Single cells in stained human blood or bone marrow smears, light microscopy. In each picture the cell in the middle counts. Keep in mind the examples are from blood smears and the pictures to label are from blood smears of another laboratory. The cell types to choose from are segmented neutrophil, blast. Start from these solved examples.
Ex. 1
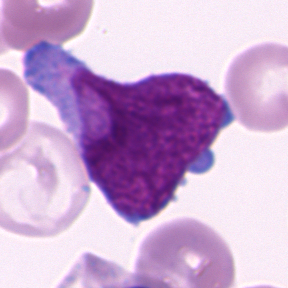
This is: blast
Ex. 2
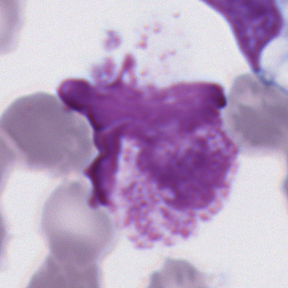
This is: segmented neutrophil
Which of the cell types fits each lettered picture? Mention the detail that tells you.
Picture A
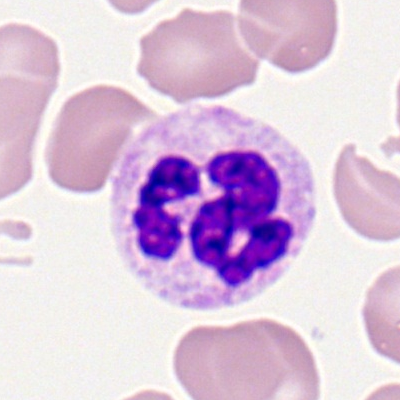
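Answer: segmented neutrophil. The cytoplasm is plentiful and pale pinkish-lilac.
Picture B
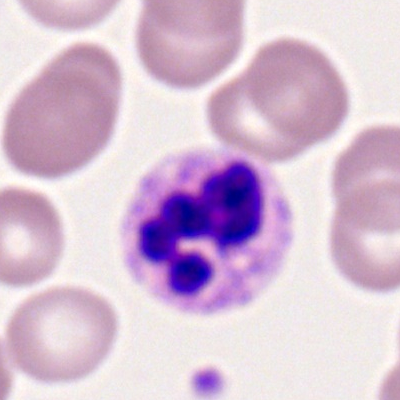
Answer: segmented neutrophil. The cytoplasm is plentiful and pale pinkish-lilac.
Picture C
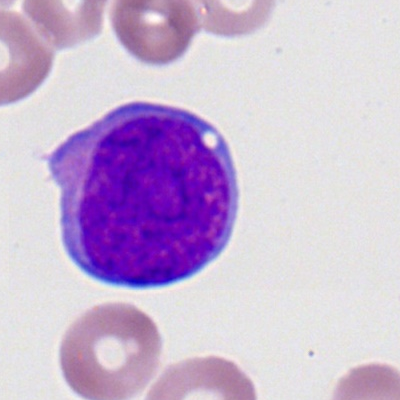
Answer: blast. The cytoplasm is blue, deepest along its outer edge.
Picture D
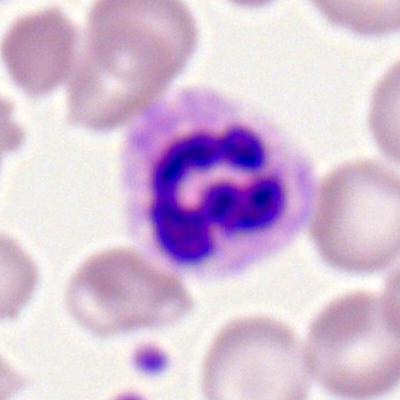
Answer: segmented neutrophil. The nucleus is divided into several lobes joined in a curved chain.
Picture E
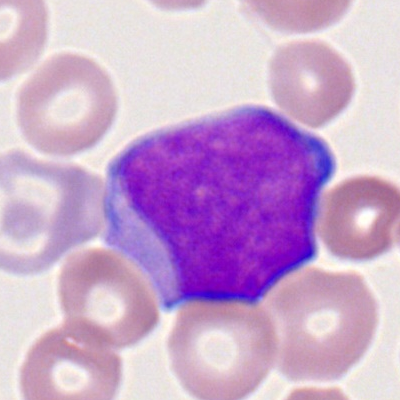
Answer: blast. The nucleus is a single unlobed mass that fills most of the cell.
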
